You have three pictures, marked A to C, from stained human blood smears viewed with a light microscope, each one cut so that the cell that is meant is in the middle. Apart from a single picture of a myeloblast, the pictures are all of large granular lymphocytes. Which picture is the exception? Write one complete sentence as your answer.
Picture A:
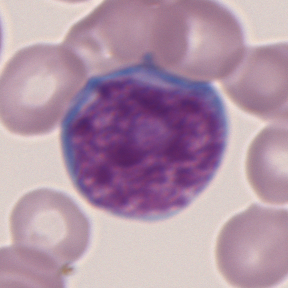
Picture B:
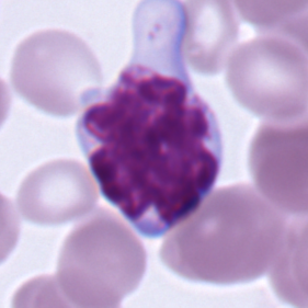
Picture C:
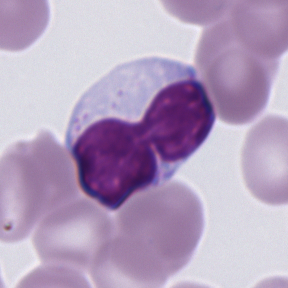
Picture A shows the myeloblast.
